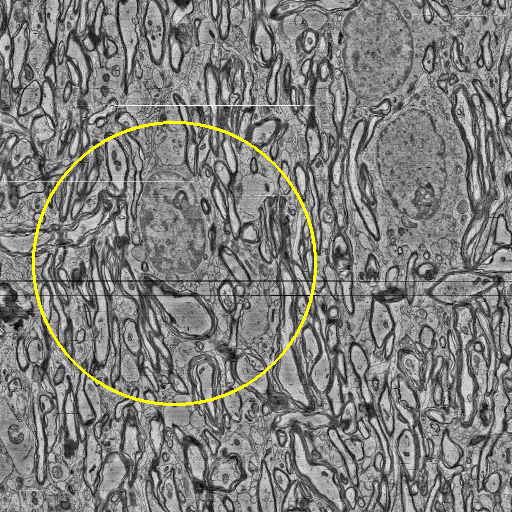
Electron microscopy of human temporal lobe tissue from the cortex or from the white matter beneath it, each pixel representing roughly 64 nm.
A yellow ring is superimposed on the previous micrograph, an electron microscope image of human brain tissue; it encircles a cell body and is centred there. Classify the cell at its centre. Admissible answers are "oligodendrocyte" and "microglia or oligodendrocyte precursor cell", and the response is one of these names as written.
oligodendrocyte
